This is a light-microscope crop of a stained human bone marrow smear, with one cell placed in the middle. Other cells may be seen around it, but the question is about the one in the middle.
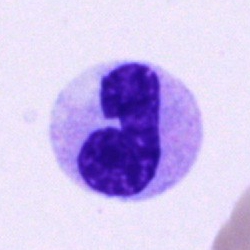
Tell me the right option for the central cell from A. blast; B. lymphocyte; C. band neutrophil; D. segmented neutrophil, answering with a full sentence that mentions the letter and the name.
According to option C, which is correct, the cell in the middle is a band neutrophil.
